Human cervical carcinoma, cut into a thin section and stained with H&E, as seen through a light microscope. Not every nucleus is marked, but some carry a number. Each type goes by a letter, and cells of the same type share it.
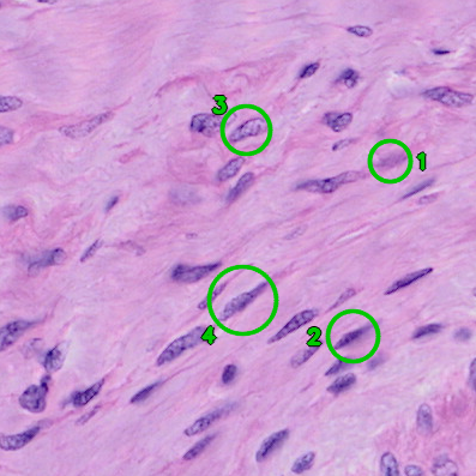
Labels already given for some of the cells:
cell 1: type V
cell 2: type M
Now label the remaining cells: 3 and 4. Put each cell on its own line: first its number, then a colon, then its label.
3: type V
4: type M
